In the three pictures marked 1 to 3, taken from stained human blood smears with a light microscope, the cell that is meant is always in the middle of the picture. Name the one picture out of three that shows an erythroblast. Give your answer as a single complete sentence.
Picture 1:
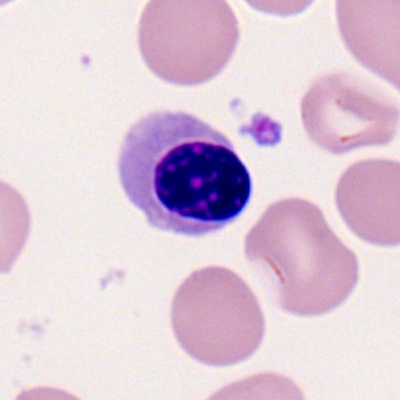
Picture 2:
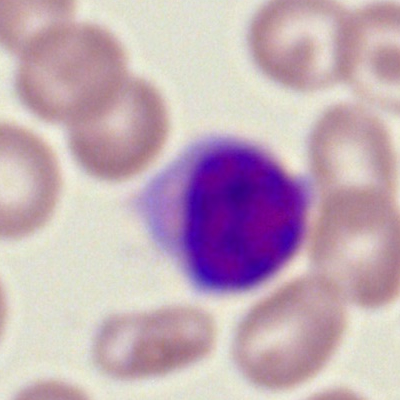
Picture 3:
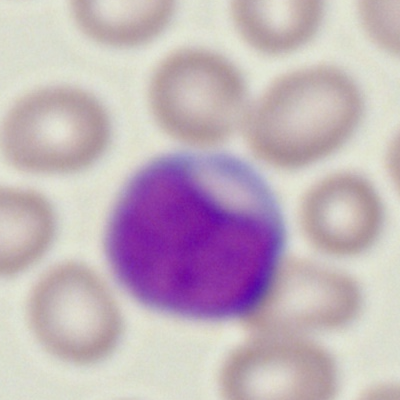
The cell in picture 1 is the erythroblast.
